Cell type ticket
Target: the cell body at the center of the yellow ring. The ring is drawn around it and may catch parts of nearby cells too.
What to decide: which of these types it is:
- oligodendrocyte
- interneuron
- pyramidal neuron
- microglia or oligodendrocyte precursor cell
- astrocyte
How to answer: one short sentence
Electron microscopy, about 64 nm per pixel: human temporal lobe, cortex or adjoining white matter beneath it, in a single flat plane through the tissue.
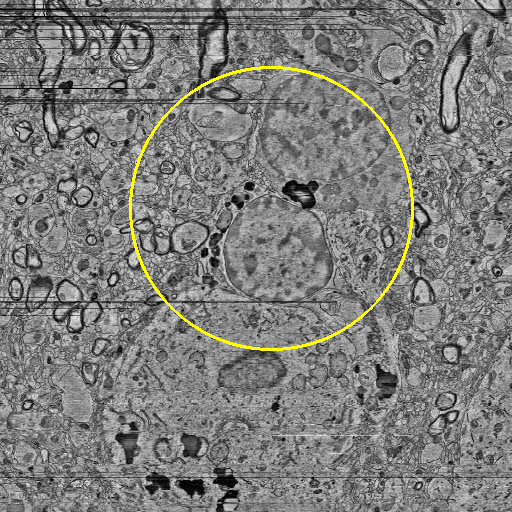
The cell at the center of the ring is a microglial cell or oligodendrocyte precursor cell.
